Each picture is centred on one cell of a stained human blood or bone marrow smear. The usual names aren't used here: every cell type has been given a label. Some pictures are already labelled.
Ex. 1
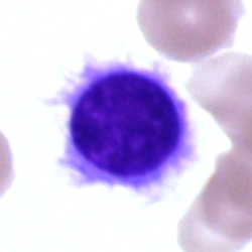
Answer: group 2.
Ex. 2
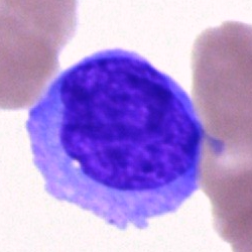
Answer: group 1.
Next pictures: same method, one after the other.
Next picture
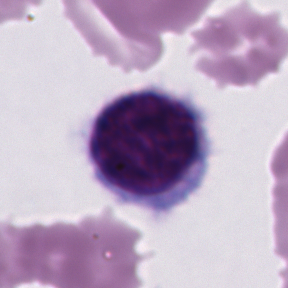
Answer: group 2.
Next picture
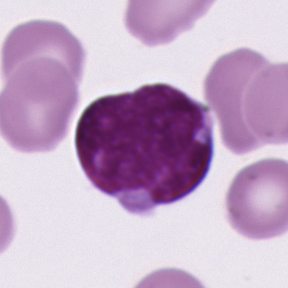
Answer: group 1.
